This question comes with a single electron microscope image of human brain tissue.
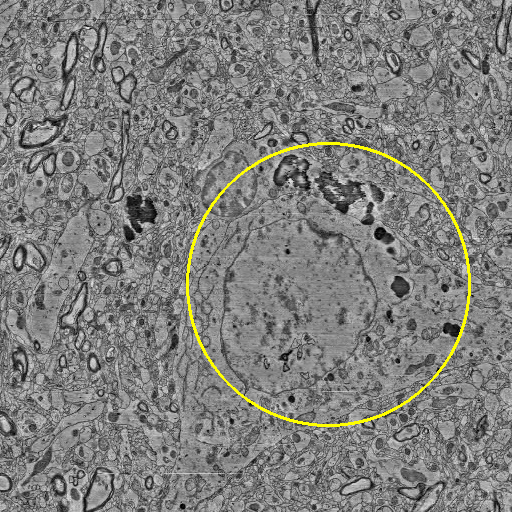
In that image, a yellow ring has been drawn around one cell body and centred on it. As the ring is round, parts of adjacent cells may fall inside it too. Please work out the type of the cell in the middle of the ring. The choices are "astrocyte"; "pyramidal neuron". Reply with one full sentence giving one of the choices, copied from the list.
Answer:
Of the choices, a pyramidal neuron is the cell sitting in the middle of the ring.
